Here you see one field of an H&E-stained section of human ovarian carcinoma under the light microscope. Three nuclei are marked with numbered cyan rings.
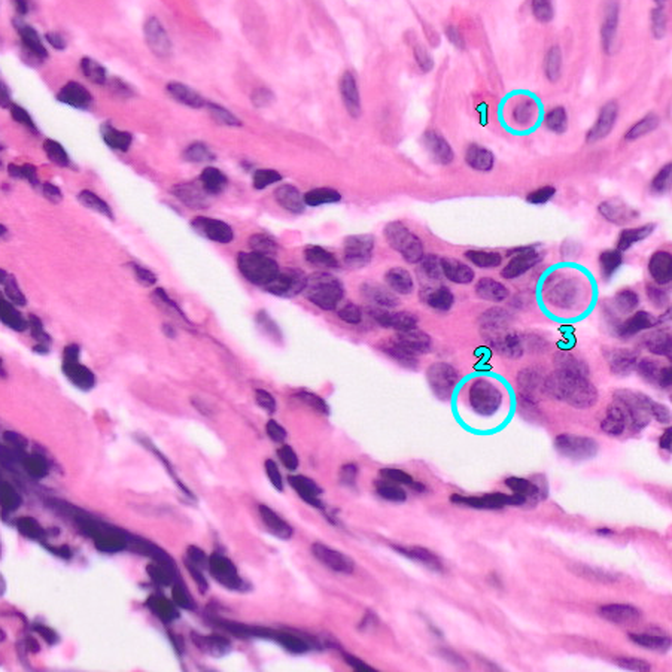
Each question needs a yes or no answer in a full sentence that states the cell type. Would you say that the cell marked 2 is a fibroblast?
No, the cell denoted 2 is a carcinoma cell rather than a fibroblast.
